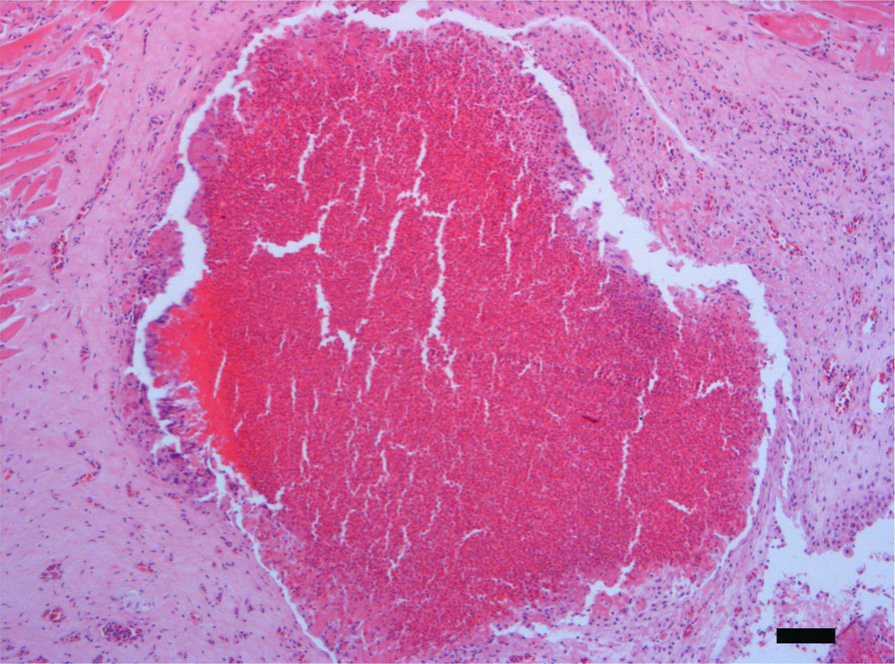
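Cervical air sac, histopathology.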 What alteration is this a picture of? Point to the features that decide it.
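A large, well-demarcated nodule fills the centre of the field. The nodule is packed with densely crowded, strongly eosinophilic cells. A thin, darker-nucleated cell layer lines parts of the nodule's edge, separated from the surrounding tissue by a cleft. The answer: heterophilic granuloma.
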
